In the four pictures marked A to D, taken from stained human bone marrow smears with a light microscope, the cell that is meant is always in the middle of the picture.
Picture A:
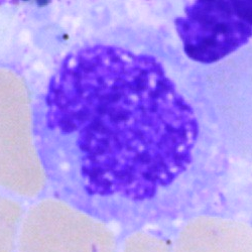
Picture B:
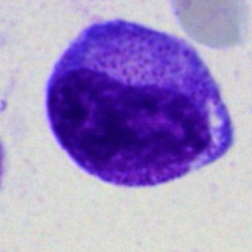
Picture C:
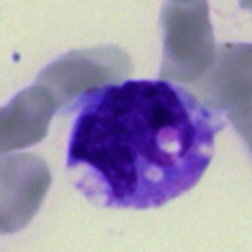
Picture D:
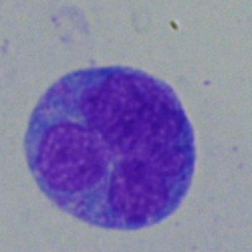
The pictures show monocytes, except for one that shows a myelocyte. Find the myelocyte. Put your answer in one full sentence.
It is picture B that shows the myelocyte.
